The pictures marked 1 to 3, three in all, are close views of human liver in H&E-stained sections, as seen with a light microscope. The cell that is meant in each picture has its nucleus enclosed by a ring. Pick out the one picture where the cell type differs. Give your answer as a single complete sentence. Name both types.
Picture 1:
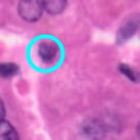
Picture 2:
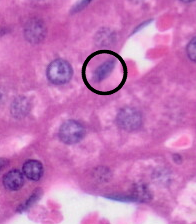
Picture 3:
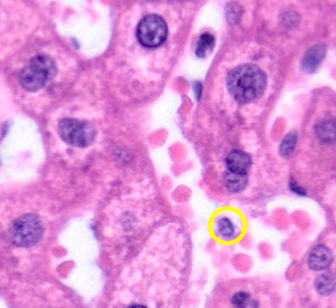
Unlike the rest, which show “fibroblasts or stellate cells”, picture 3 shows a Kupffer cell.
